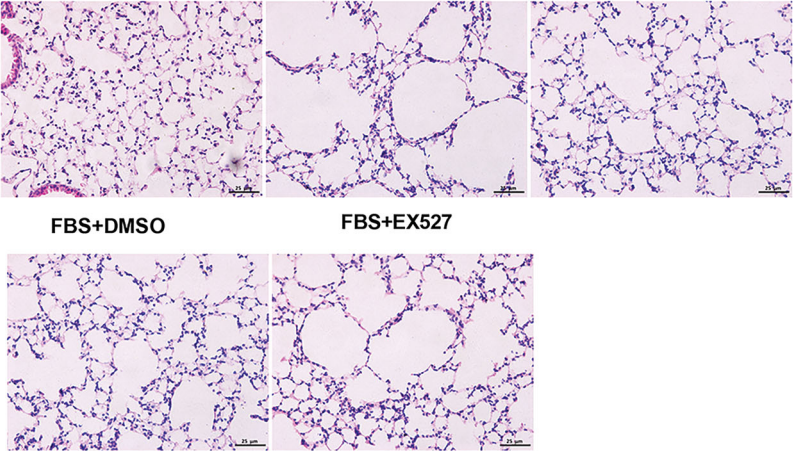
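Lung parenchyma of alveolar airspaces bounded by thin septa, in which small cells with dark purple nuclei sit in pale pink walls. In several images the airspaces are much enlarged and irregular, with thinned and broken septa between them, while in others the alveoli are small and evenly spaced. A small airway with a pink epithelial lining is cut at the edge of one image.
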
